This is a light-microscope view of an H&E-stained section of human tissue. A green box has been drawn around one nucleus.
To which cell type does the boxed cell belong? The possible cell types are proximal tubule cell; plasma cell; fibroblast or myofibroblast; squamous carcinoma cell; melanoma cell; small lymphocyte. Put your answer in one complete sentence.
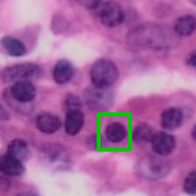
The boxed cell appears to be a plasma cell.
